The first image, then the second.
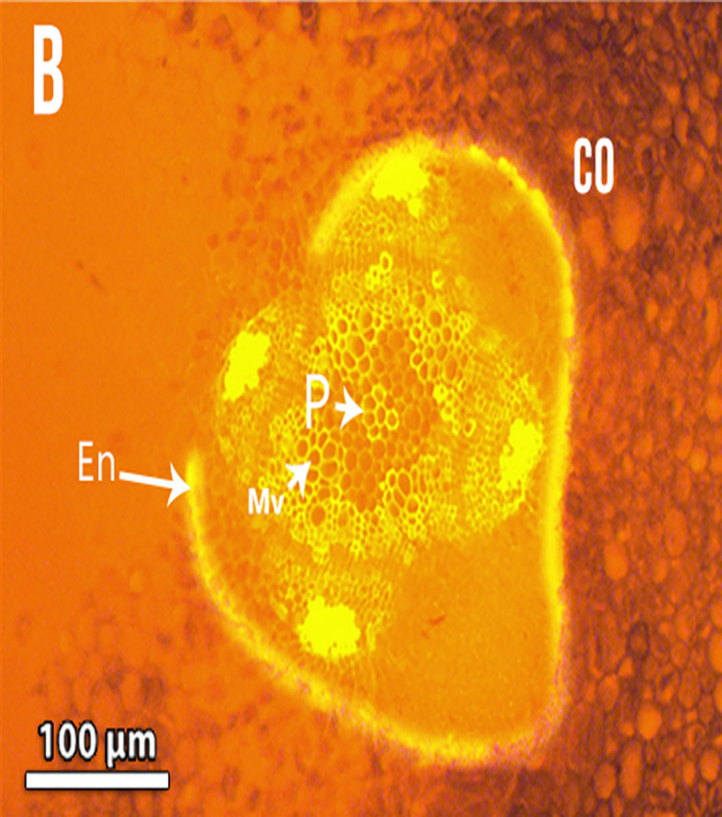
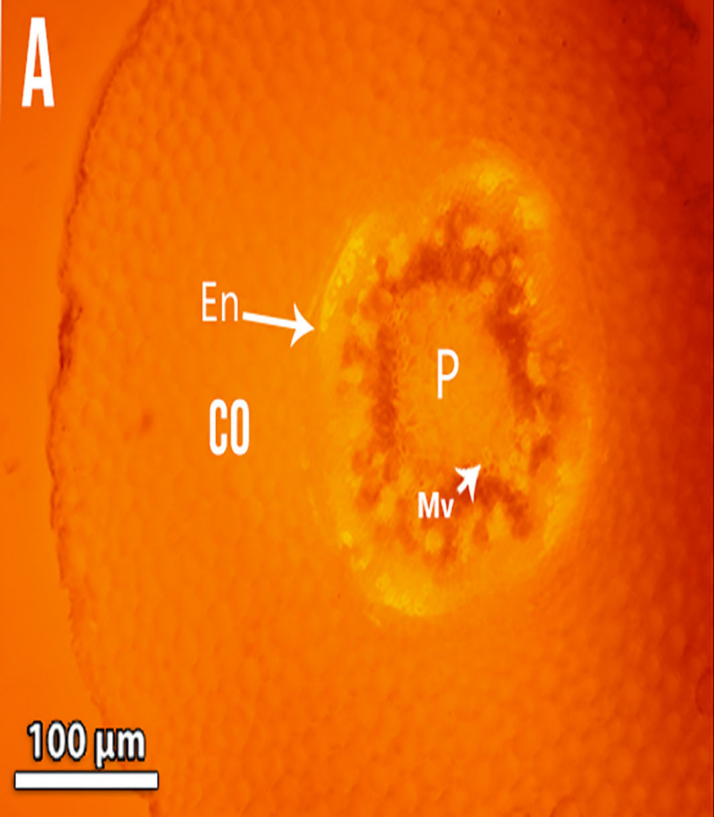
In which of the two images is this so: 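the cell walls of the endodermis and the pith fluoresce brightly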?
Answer: the first image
